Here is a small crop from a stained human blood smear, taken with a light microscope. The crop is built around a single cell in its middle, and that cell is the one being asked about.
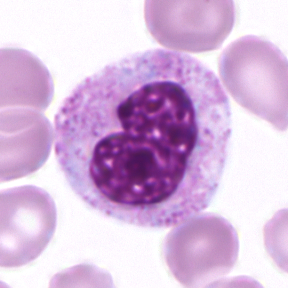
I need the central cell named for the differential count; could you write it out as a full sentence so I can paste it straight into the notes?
The central cell shown in this smear crop is a band neutrophil.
